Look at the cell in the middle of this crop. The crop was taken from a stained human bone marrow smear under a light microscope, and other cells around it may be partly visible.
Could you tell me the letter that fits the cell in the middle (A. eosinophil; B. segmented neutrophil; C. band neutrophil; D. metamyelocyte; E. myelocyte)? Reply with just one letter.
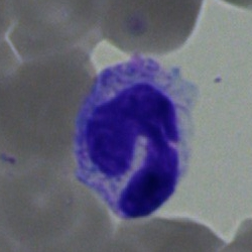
B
